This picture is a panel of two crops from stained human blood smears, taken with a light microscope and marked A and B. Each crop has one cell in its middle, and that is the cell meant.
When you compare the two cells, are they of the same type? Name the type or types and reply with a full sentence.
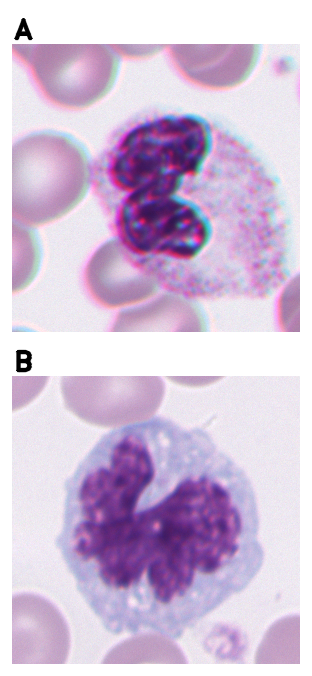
No, crop A shows a segmented neutrophil, with a monocyte shown in crop B.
